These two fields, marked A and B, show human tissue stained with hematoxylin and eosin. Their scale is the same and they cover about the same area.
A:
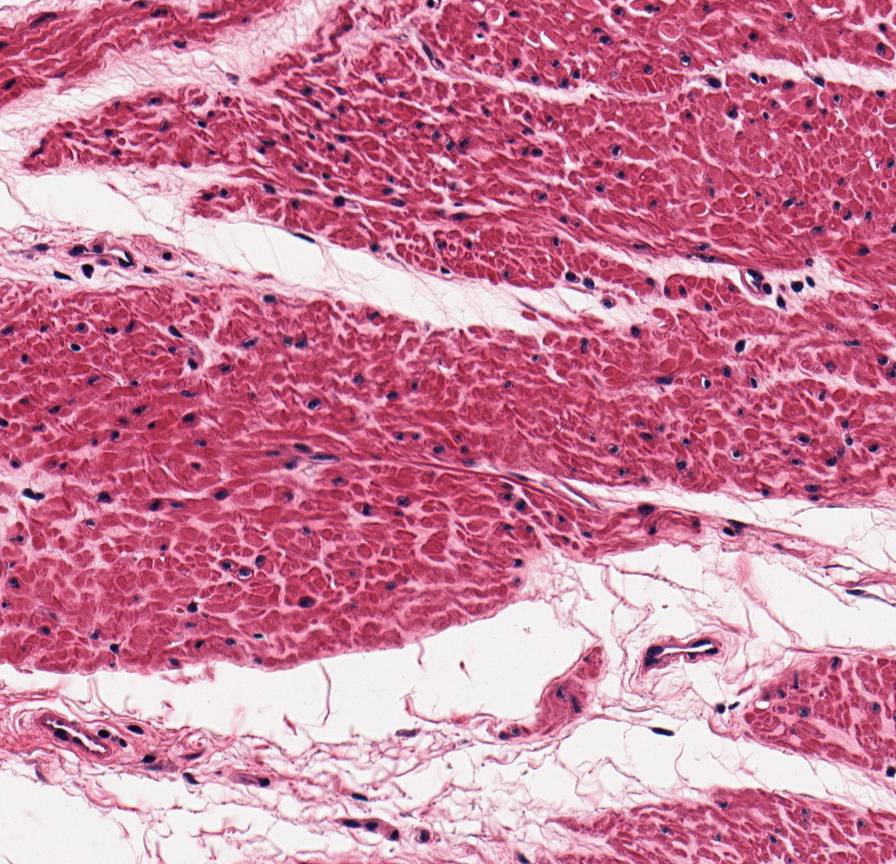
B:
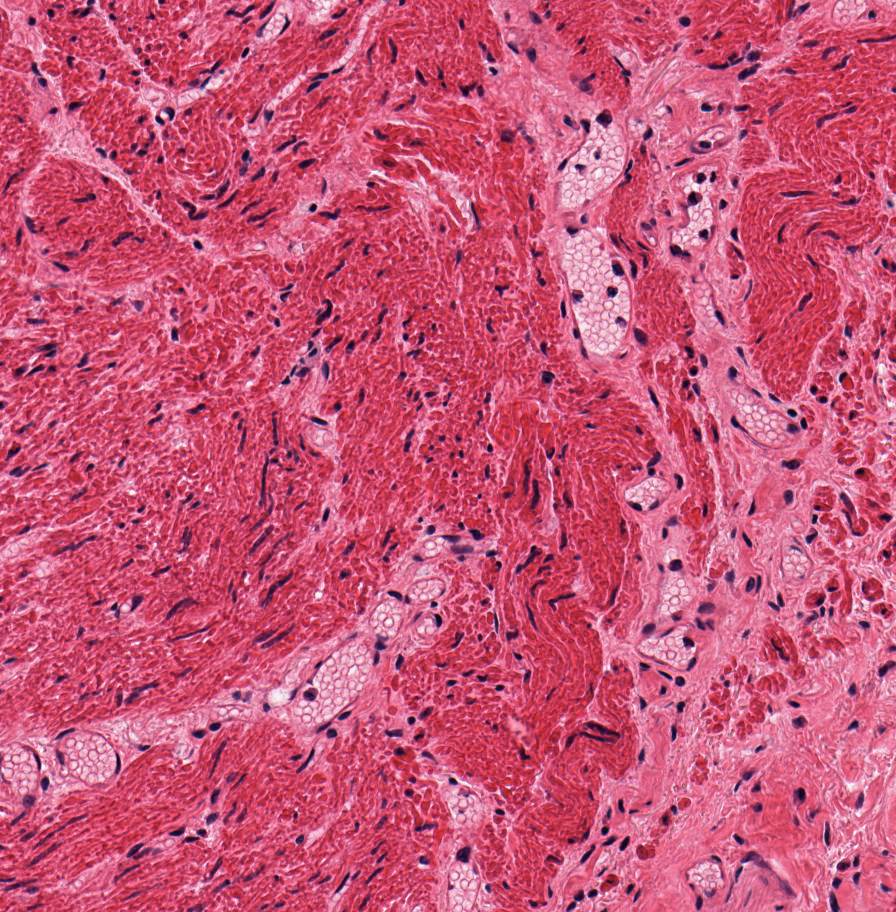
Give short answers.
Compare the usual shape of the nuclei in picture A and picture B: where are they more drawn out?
B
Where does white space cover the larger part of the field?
A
